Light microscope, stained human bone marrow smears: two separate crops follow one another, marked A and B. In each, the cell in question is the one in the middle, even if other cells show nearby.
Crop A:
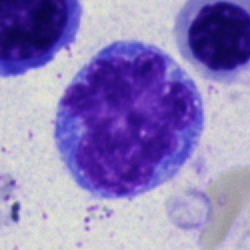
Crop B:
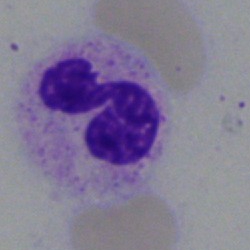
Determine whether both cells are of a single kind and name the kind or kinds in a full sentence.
No, crop A shows a monocyte and crop B shows a neutrophil.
